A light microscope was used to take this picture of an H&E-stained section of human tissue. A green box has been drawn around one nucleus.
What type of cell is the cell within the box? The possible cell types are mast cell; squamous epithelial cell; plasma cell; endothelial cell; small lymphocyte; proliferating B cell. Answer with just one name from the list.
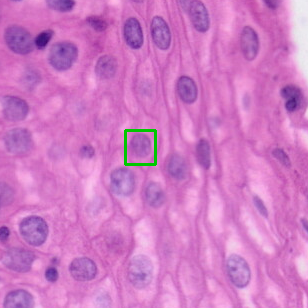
squamous epithelial cell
